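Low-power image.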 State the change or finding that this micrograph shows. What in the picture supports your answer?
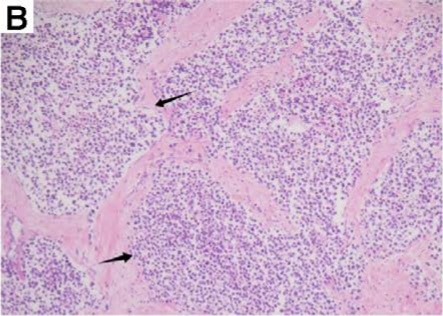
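Nested alveolar pattern. Densely packed small blue cells form rounded groups. The groups are separated by pink bands.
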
